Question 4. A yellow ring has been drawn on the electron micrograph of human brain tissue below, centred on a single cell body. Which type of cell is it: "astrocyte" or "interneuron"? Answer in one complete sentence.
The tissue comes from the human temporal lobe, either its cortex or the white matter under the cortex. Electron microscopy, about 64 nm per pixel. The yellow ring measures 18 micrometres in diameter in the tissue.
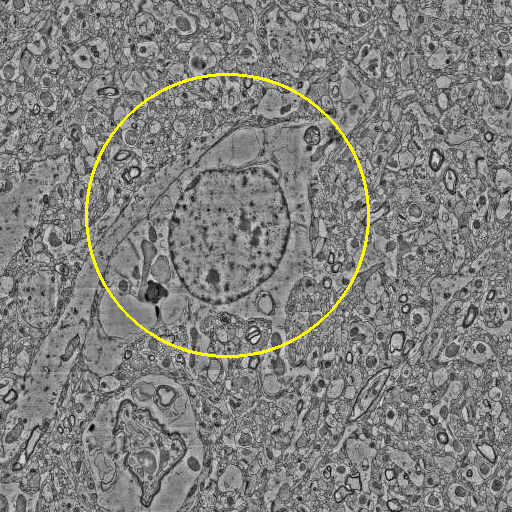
This cell body belongs to an astrocyte.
